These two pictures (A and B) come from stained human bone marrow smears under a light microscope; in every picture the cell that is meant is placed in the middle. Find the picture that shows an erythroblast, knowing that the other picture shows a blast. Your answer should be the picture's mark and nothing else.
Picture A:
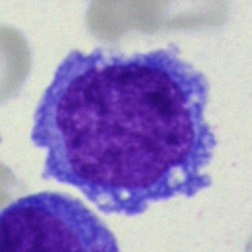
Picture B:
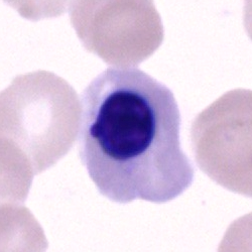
B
